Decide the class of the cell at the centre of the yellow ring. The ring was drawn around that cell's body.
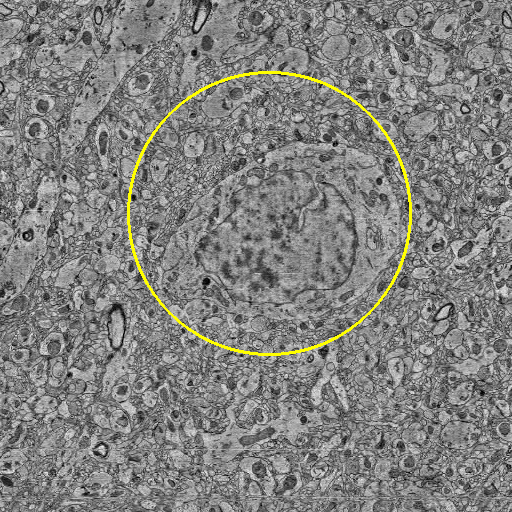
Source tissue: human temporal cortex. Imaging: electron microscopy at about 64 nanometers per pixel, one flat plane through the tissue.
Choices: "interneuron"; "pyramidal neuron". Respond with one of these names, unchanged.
interneuron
